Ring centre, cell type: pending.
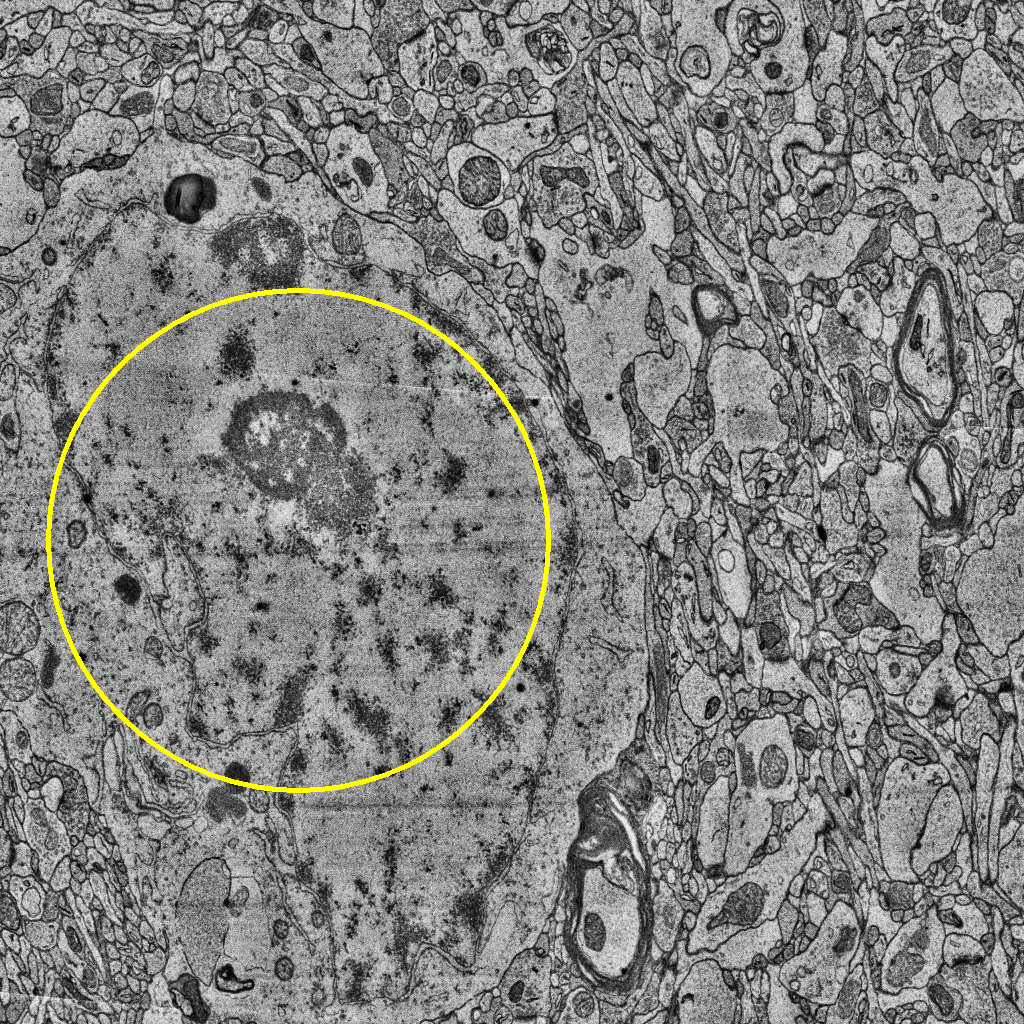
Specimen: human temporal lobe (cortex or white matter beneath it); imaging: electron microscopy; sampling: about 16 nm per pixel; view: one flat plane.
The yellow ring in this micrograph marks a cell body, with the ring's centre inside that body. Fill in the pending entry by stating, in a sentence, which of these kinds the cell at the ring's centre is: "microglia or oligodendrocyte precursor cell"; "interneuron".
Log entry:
The cell at the ring's centre is recorded as an interneuron.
